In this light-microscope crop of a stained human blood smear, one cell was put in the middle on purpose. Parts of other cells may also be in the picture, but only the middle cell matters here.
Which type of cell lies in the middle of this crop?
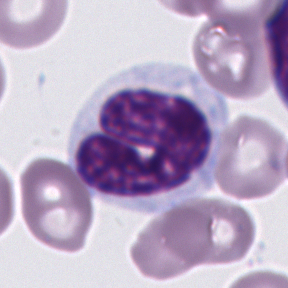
band neutrophil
